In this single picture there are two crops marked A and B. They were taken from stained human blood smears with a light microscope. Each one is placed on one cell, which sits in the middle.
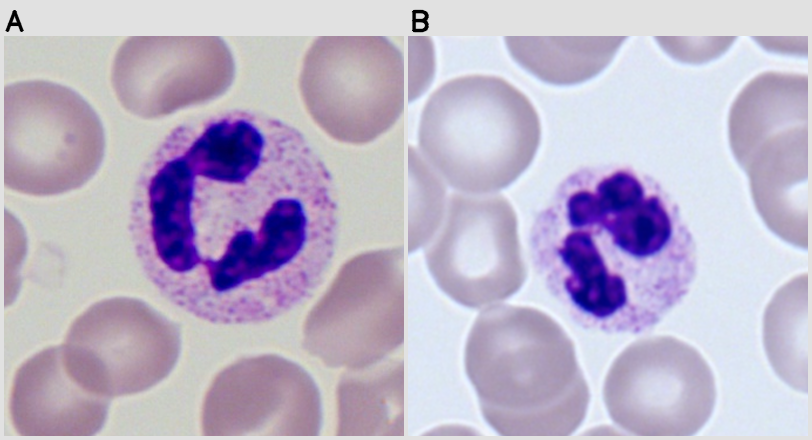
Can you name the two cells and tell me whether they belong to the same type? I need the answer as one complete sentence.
Yes, the cells at the middle of both crops are segmented neutrophils.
